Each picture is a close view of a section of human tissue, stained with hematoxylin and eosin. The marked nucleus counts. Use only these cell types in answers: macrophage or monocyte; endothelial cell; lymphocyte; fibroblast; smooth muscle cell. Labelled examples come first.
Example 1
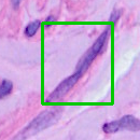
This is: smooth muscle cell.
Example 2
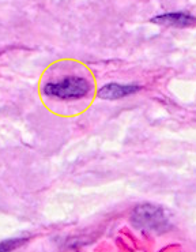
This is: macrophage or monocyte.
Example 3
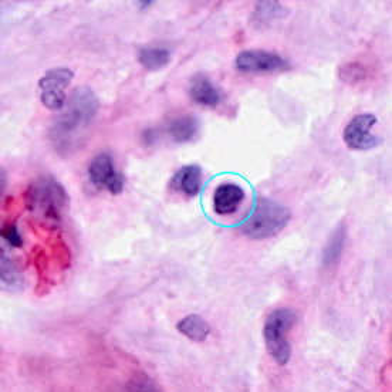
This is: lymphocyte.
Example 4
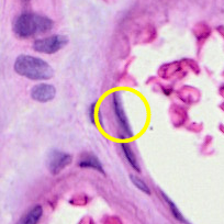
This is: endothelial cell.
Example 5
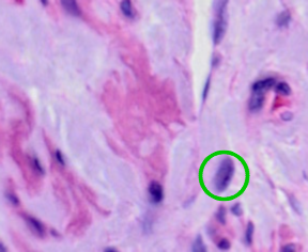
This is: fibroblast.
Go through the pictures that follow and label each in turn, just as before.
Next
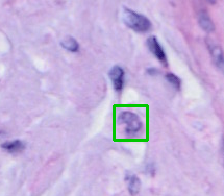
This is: macrophage or monocyte.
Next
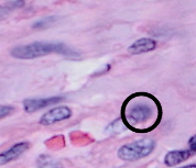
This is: endothelial cell.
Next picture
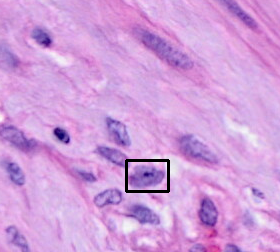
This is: macrophage or monocyte.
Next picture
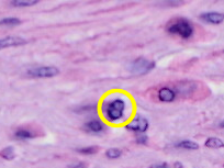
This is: lymphocyte.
